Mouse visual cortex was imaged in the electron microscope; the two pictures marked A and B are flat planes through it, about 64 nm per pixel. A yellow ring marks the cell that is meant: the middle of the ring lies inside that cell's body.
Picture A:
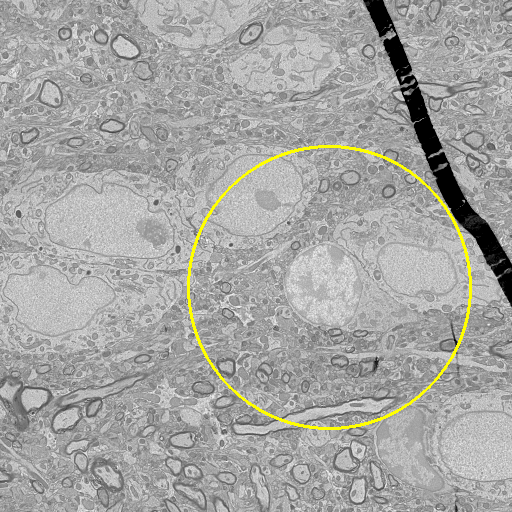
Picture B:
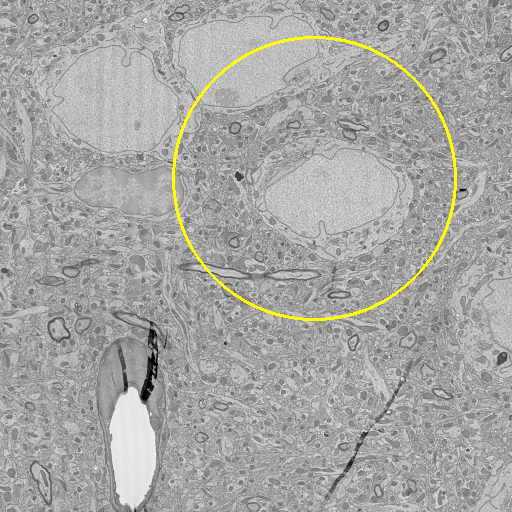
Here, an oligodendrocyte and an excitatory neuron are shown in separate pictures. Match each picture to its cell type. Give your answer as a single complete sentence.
Picture A is of an oligodendrocyte, and picture B is of an excitatory neuron.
